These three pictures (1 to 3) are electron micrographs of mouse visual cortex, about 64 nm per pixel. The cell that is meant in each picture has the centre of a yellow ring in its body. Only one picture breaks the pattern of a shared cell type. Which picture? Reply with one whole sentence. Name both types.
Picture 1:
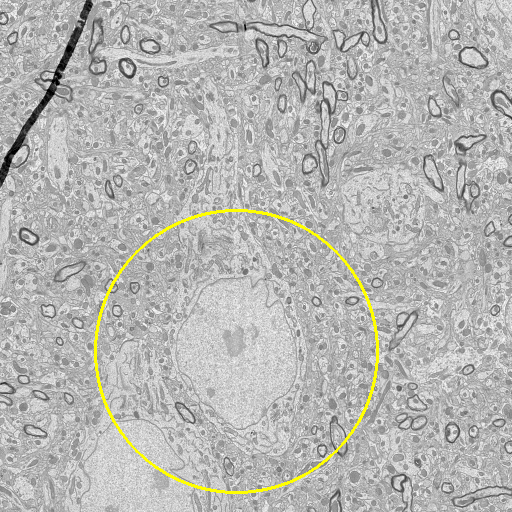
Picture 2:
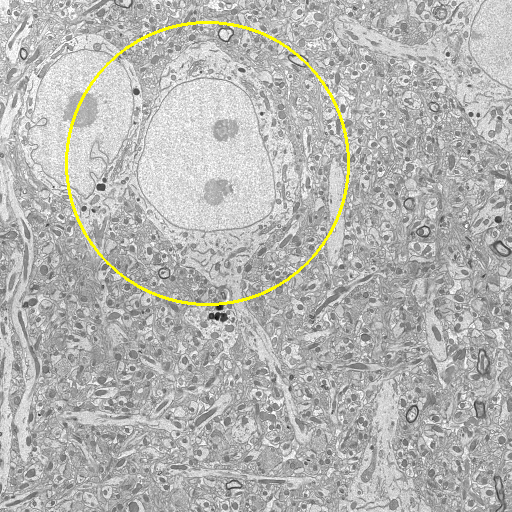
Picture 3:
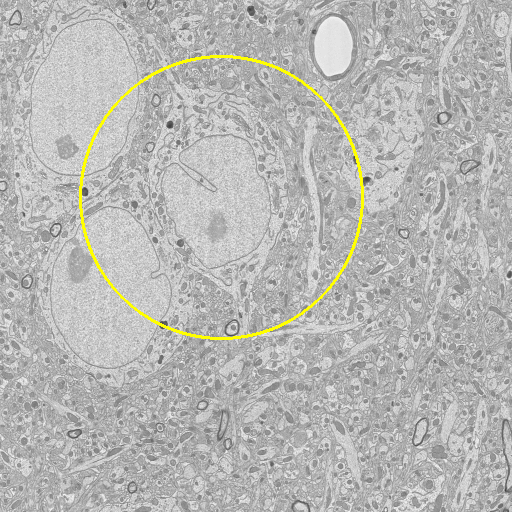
The different one is picture 2; it shows an excitatory neuron, whereas all the others show inhibitory neurons.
